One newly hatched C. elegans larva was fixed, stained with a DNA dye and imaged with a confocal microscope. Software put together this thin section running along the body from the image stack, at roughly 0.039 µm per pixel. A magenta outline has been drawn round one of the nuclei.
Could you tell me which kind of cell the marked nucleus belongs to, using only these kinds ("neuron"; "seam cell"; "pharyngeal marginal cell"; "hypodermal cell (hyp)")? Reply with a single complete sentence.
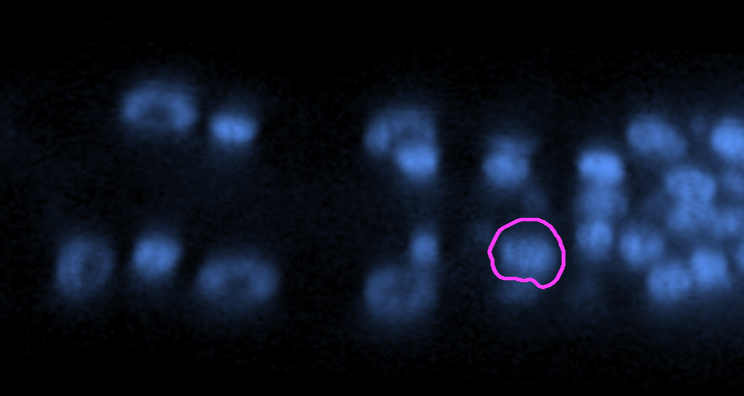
The nucleus comes from a pharyngeal marginal cell.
